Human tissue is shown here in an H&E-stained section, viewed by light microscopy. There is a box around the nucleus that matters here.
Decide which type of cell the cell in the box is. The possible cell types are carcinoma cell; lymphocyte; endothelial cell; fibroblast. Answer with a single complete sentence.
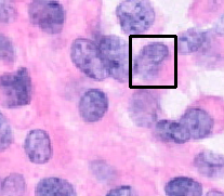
In this preparation, the cell in the box is a carcinoma cell.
